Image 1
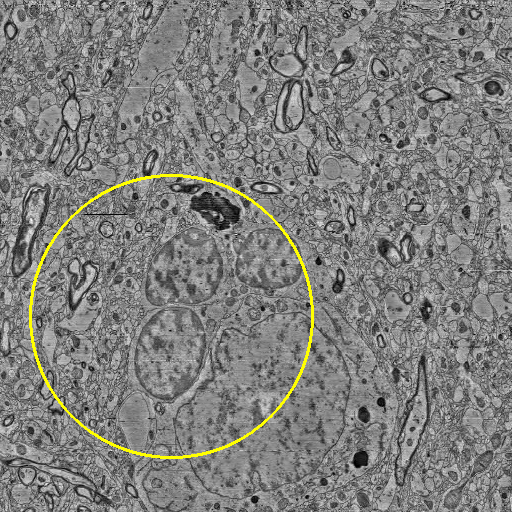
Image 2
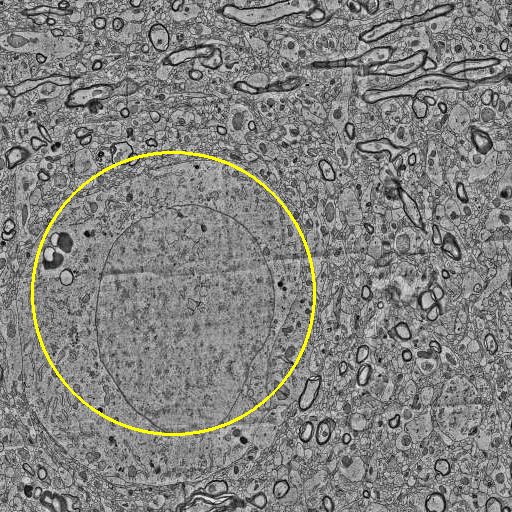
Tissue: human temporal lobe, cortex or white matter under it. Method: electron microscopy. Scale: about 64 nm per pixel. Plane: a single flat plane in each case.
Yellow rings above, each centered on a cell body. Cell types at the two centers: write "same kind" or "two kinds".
two kinds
